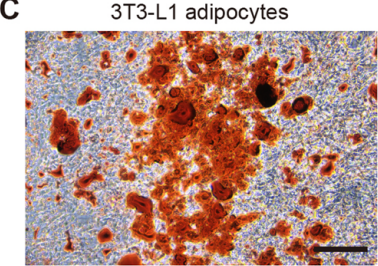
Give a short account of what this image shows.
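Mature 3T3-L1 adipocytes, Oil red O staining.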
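The stained cells lie in irregular clusters, their droplets ranging from small beads to large rounded globules, some with dark outlines. The stained clusters crowd the centre of the field.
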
